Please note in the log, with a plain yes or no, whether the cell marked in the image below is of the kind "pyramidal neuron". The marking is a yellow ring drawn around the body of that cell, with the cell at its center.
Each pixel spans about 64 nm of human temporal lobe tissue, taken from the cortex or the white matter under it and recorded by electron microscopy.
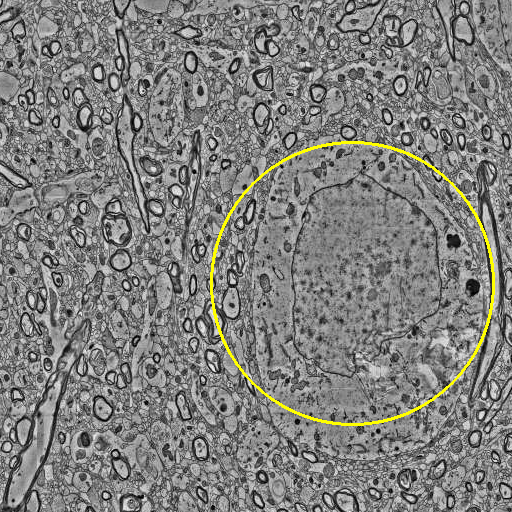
yes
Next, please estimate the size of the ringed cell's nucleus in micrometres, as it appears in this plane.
About 12 micrometres by about 10 micrometres in this plane.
